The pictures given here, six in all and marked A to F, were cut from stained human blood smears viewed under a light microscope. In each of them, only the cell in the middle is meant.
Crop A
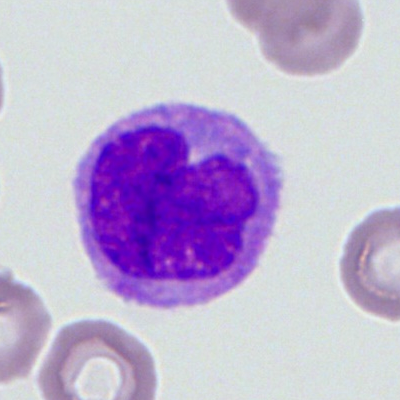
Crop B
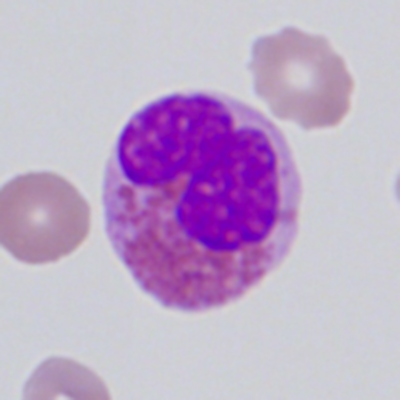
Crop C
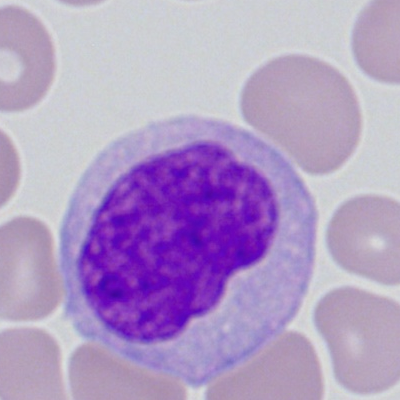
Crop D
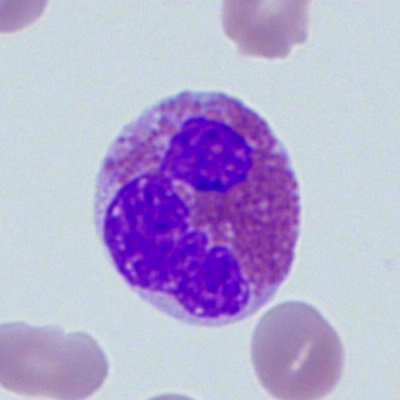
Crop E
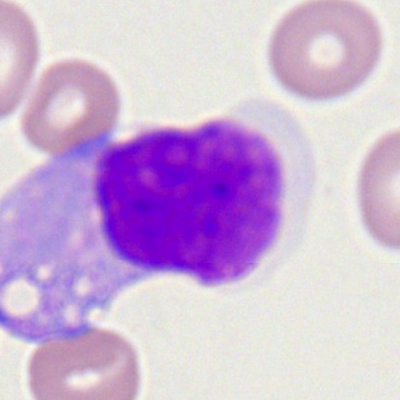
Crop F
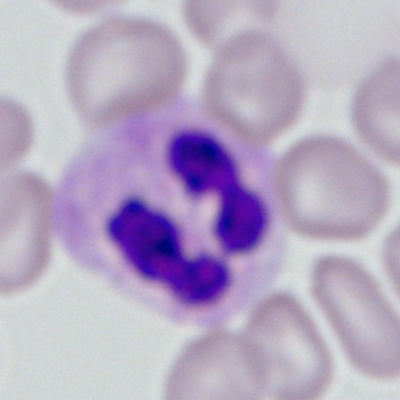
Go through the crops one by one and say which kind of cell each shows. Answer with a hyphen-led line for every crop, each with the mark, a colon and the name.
- A: monocyte
- B: eosinophil
- C: monocyte
- D: eosinophil
- E: monocyte
- F: segmented neutrophil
